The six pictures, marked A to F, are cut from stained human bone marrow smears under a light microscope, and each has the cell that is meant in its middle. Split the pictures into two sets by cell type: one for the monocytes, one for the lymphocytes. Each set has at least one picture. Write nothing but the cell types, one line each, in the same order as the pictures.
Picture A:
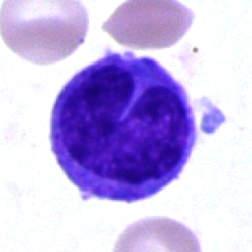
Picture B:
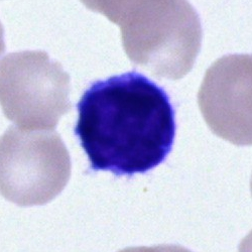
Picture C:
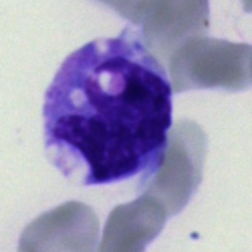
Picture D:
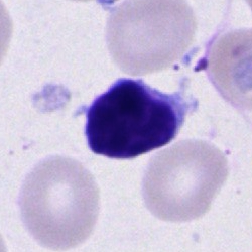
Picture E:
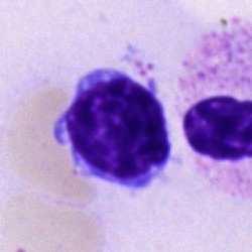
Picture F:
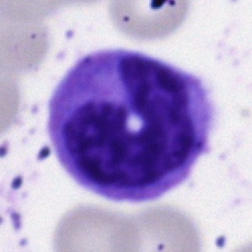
monocyte
lymphocyte
monocyte
lymphocyte
lymphocyte
monocyte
